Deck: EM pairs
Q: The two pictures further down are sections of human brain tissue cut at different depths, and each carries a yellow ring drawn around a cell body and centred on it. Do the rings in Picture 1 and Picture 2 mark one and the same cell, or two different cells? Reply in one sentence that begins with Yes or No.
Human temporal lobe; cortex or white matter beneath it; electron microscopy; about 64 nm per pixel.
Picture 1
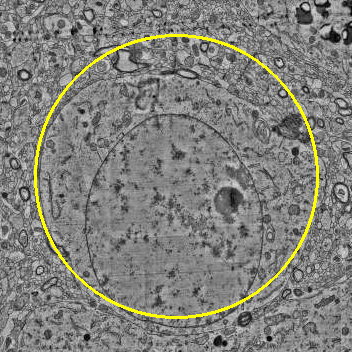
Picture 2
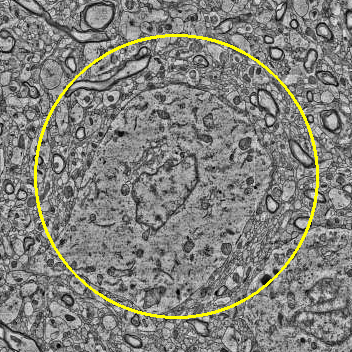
No, the two rings in this image mark separate cells.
